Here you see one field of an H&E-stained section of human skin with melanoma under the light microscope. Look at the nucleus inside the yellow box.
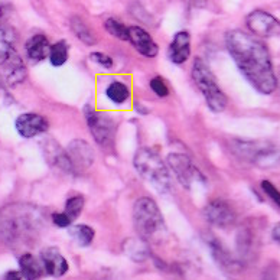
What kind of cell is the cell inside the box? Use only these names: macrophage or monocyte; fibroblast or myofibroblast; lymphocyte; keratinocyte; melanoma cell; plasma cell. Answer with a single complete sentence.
The classification of the cell inside the box is as a lymphocyte.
